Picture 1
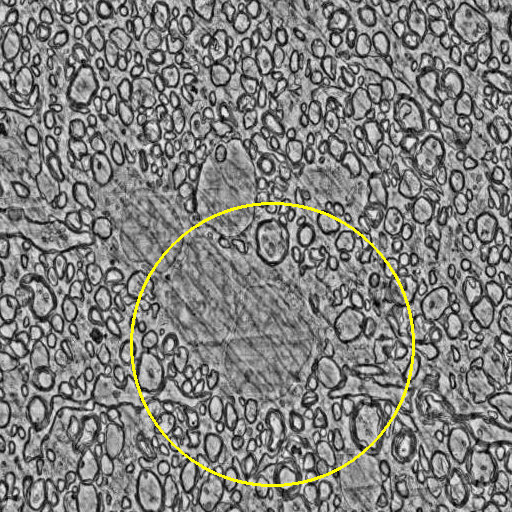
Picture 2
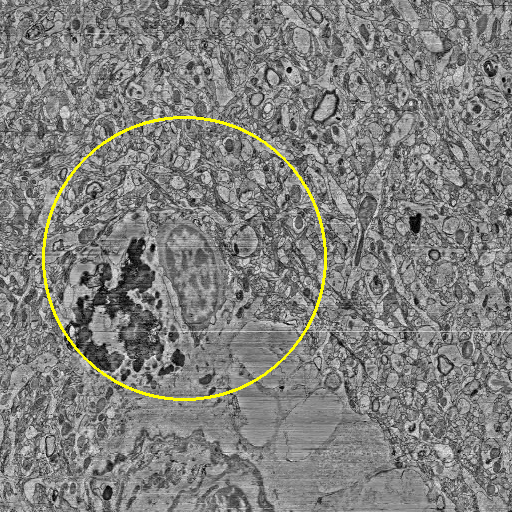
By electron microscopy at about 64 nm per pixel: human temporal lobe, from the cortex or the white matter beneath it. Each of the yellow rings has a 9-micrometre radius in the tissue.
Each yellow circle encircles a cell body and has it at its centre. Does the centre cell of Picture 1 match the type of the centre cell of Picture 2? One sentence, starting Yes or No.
Yes, the cell centred in Picture 1 and the one in Picture 2 share a type.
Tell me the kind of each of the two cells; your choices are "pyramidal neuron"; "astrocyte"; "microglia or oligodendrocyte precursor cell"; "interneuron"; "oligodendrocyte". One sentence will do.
The cell at the ring centre is an oligodendrocyte in both pictures.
